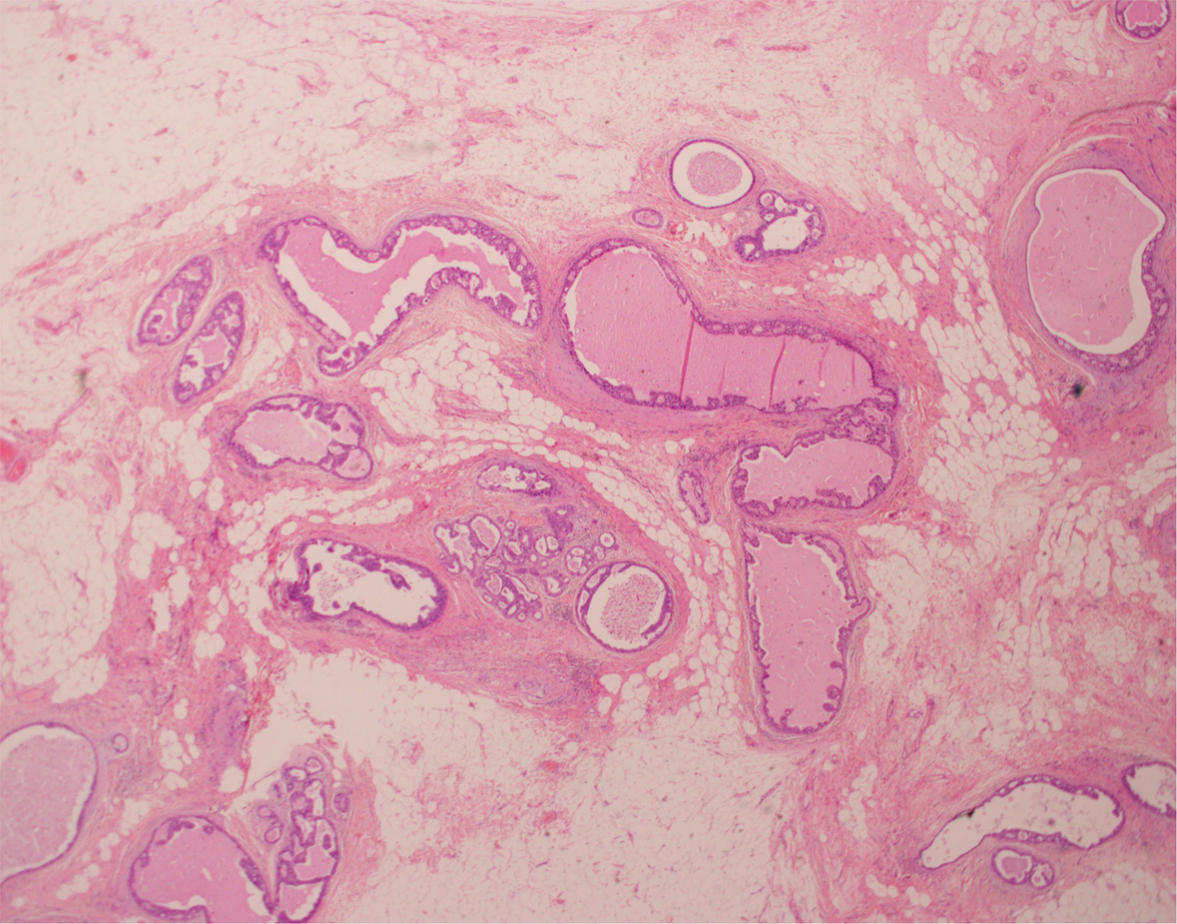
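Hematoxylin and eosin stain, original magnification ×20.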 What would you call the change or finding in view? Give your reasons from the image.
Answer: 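Many ducts are widely dilated into cyst-like spaces. The dilated lumens are filled with homogeneous pink secretion, some with cracks. The secretion is retracted from the epithelial lining in places. On this evidence: cystic hypersecretory features.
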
